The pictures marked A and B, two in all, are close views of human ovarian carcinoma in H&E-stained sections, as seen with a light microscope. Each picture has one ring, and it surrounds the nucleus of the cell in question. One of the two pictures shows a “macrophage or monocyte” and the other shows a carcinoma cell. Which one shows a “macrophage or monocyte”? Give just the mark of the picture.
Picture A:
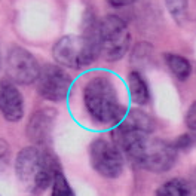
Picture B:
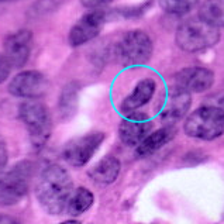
B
